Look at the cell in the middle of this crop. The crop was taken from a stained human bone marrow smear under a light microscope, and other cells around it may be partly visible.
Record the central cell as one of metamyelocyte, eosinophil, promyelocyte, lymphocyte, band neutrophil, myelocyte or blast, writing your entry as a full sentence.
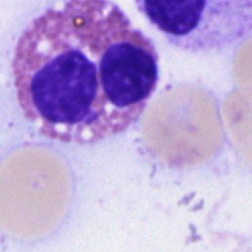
Classified as an eosinophil is the cell in the middle of this crop.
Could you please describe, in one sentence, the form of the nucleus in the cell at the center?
If you check the nucleus, you will find it split into two or more lobes.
